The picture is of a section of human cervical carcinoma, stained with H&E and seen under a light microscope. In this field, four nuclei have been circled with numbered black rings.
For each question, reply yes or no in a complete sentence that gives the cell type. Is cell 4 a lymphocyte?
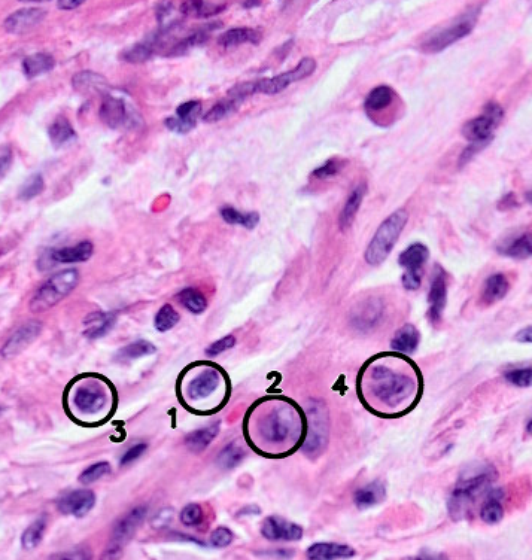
No, the cell identified by number 4 is a macrophage or monocyte, not a lymphocyte.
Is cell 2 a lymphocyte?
No, the cell given the number 2 is an endothelial cell, so not a lymphocyte.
